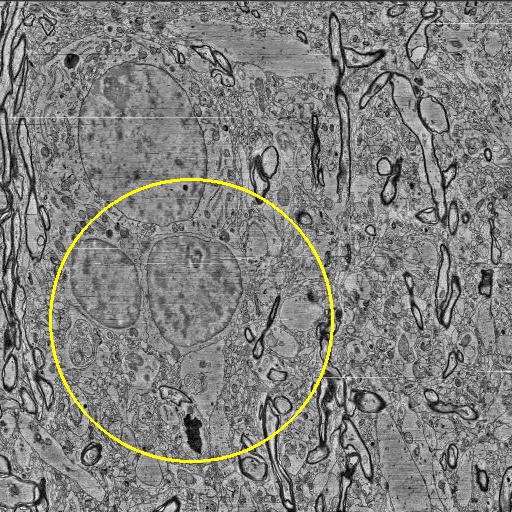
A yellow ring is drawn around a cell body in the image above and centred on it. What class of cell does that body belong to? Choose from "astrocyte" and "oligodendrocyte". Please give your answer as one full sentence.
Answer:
The yellow ring above is centred on the cell body of an oligodendrocyte.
